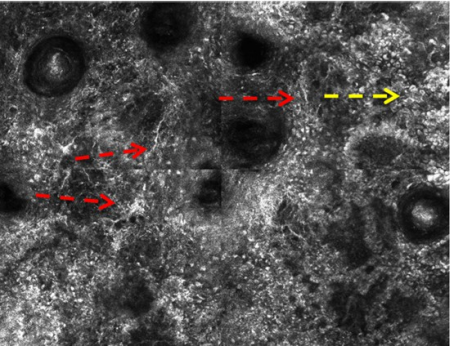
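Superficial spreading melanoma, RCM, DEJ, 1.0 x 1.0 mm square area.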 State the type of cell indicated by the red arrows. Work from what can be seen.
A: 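Dendritic cells. Bright cells with thin branching processes lie at the red arrow tips.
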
